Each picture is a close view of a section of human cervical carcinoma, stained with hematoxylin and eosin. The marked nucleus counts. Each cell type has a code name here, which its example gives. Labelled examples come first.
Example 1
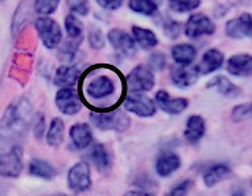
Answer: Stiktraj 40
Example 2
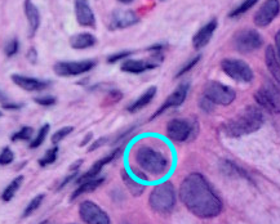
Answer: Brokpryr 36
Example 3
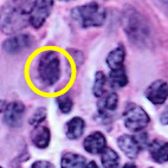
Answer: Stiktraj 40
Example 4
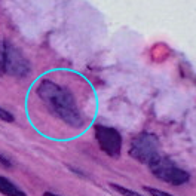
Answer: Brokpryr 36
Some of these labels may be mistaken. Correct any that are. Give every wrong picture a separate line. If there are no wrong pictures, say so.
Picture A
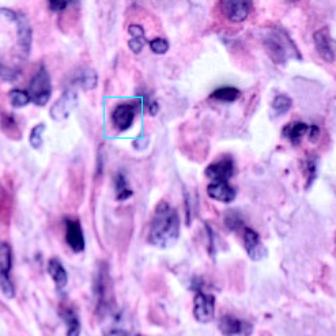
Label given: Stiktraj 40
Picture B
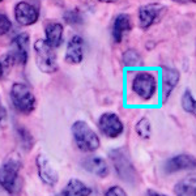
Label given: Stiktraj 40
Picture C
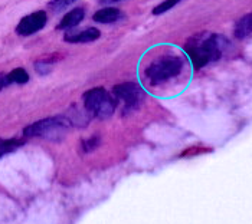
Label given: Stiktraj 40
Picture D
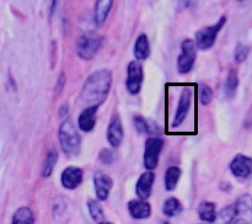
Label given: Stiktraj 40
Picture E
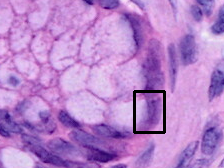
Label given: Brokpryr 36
C should be Brokpryr 36, not Stiktraj 40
